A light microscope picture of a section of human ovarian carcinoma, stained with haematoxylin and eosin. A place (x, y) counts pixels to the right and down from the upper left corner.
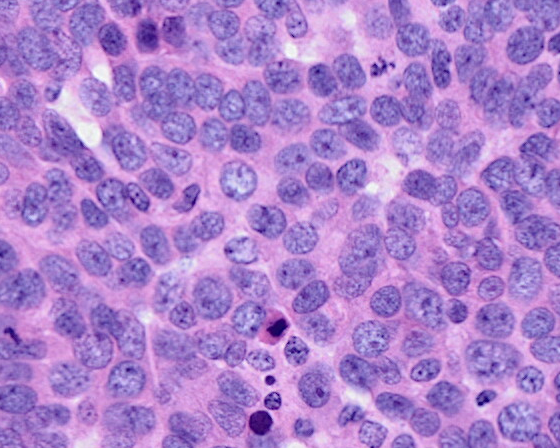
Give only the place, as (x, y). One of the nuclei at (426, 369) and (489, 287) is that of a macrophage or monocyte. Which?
(426, 369)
